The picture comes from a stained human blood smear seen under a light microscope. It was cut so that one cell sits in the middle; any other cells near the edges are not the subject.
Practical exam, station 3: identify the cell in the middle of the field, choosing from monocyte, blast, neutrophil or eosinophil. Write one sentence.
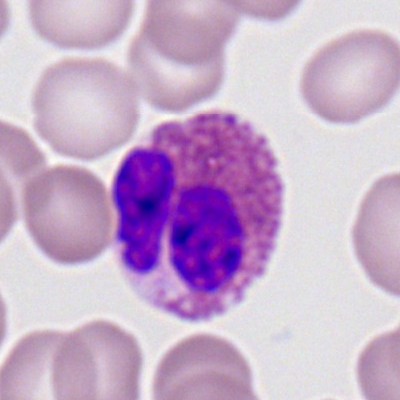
Looking at the middle of the crop, the cell there is an eosinophil.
